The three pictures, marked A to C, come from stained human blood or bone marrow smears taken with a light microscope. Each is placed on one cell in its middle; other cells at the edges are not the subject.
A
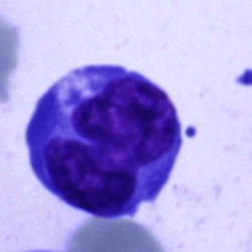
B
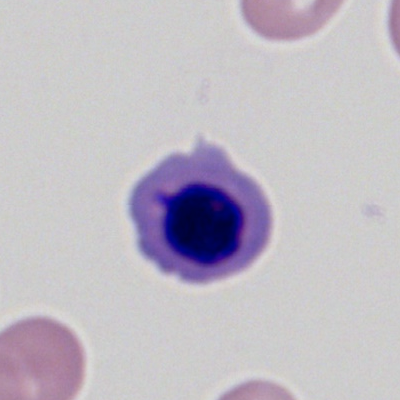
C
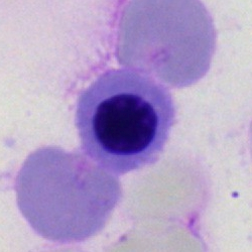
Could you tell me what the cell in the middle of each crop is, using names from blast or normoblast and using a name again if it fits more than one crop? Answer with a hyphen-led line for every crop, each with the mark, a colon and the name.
- A: blast
- B: normoblast
- C: normoblast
